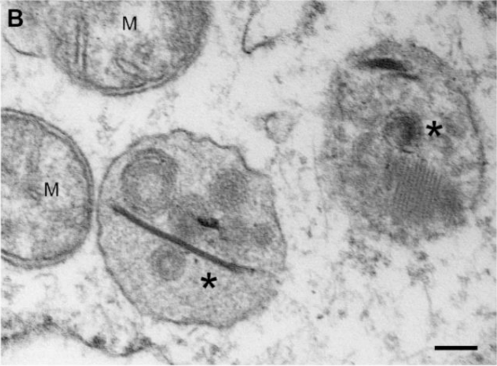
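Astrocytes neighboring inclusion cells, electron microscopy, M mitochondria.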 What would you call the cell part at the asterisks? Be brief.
membrane-bound degenerating organelles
